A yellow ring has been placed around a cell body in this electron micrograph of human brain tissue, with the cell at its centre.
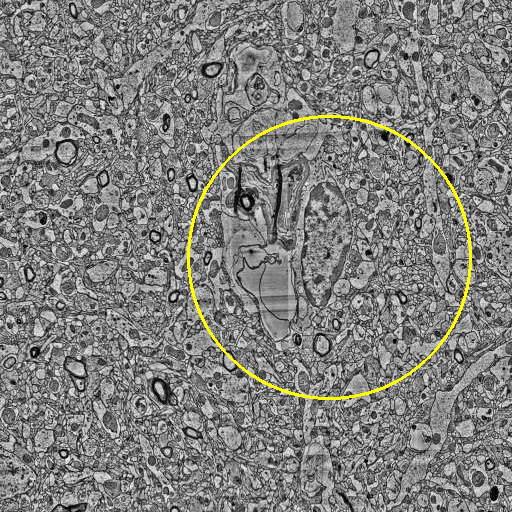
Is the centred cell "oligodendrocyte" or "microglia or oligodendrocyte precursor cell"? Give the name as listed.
microglia or oligodendrocyte precursor cell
